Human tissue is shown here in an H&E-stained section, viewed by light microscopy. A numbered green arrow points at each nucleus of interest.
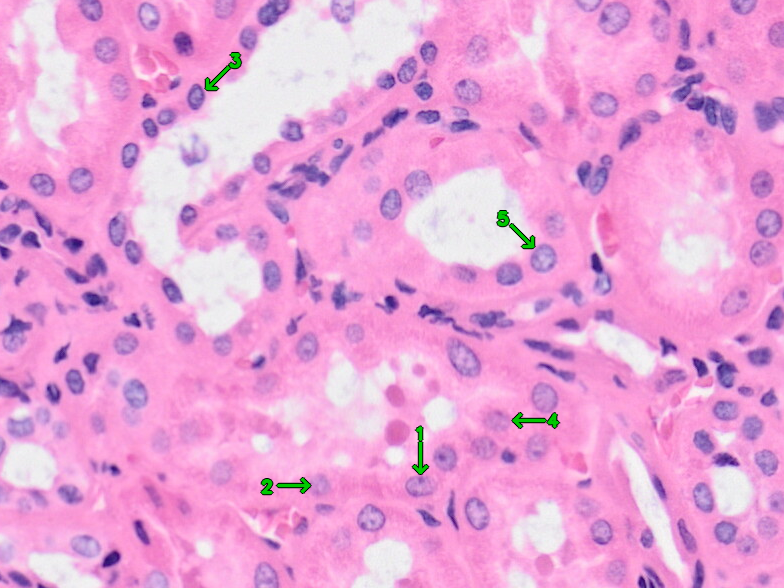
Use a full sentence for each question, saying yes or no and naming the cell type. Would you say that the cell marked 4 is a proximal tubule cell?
Yes, the cell whose nucleus carries number 4 is a proximal tubule cell.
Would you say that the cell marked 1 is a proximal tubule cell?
Yes, the cell pointed out as number 1 is a proximal tubule cell.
